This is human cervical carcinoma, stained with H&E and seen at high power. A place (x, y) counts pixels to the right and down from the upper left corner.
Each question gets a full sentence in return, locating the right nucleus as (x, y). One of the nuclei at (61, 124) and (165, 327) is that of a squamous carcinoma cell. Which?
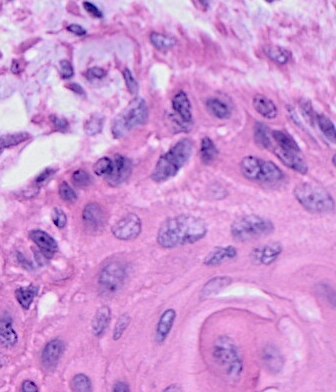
Of the pair, the nucleus located at (165, 327) belongs to a squamous carcinoma cell.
